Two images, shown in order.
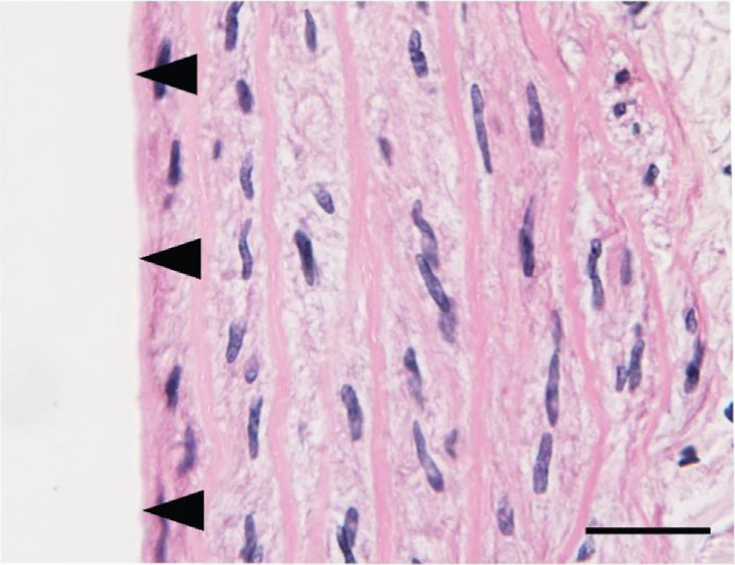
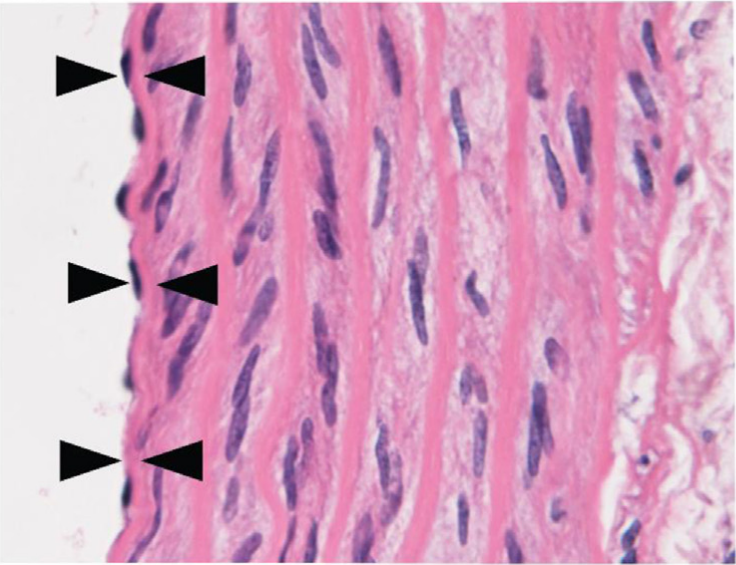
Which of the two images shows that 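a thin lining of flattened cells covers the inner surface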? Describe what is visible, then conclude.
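First image: the luminal edge is a pale pink border without a row of flat lining nuclei on it. Second image: a row of flattened dark nuclei lines the luminal edge. So: the second image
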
